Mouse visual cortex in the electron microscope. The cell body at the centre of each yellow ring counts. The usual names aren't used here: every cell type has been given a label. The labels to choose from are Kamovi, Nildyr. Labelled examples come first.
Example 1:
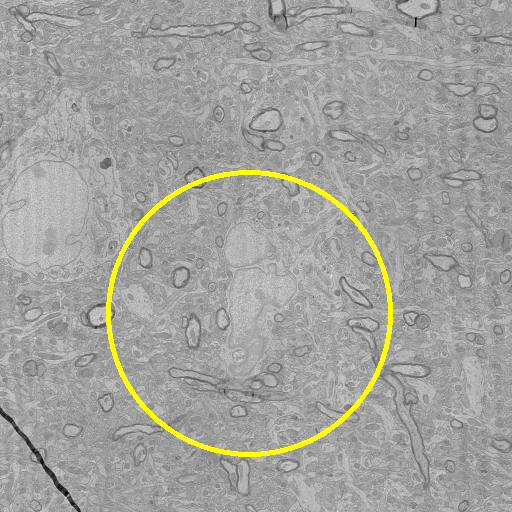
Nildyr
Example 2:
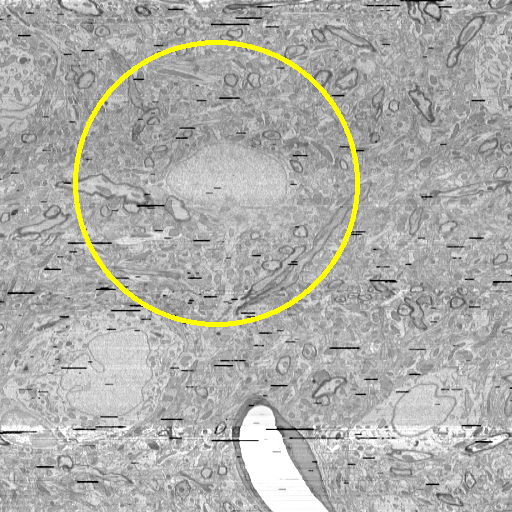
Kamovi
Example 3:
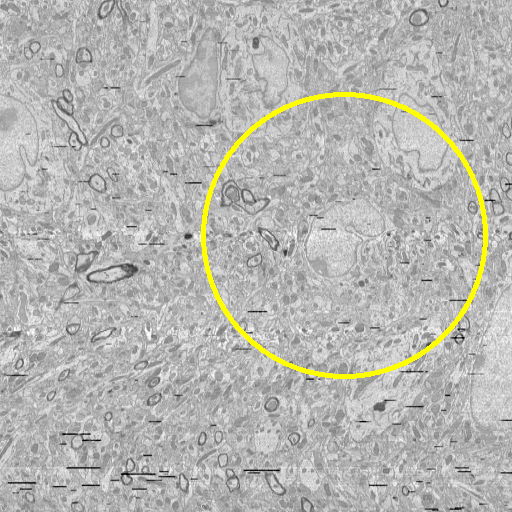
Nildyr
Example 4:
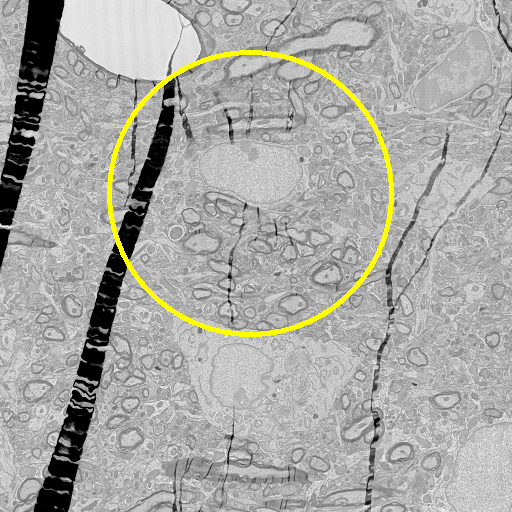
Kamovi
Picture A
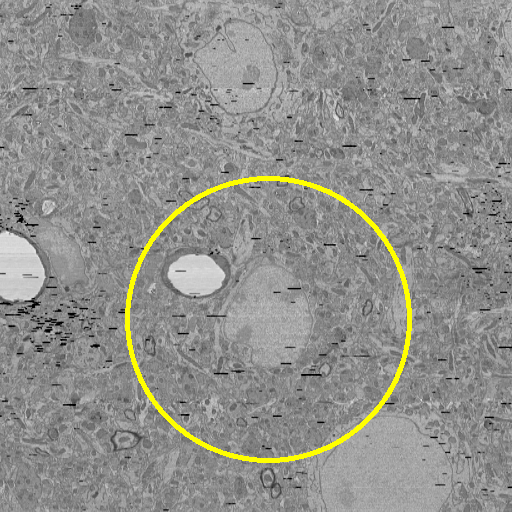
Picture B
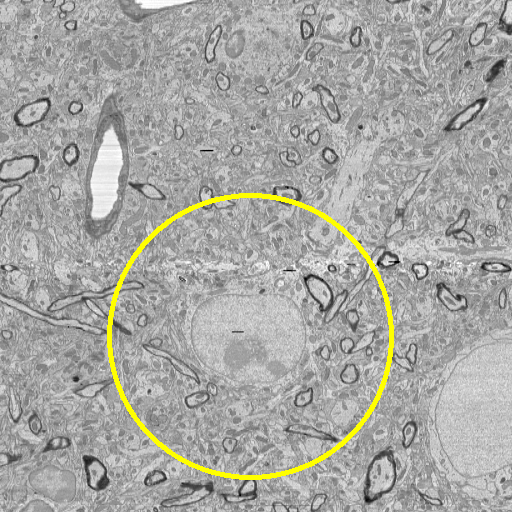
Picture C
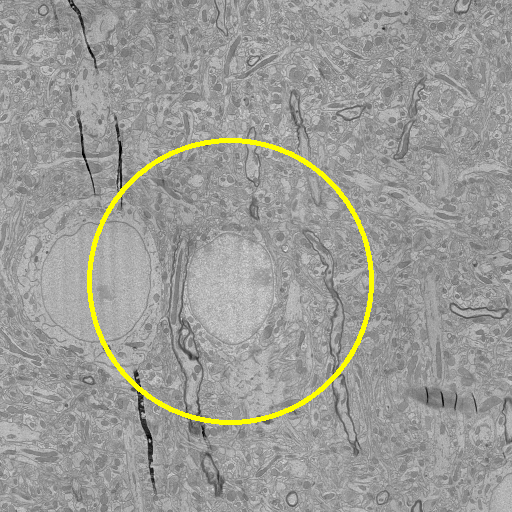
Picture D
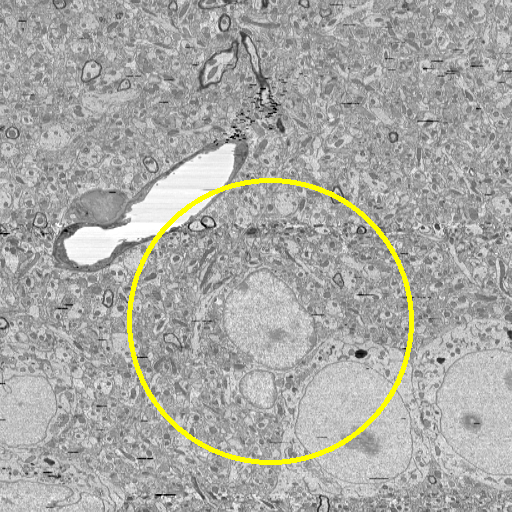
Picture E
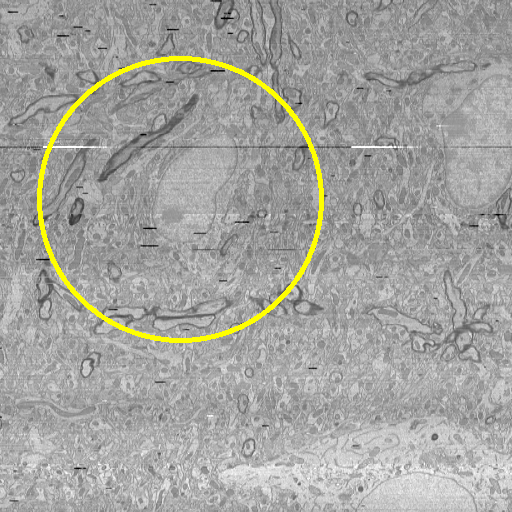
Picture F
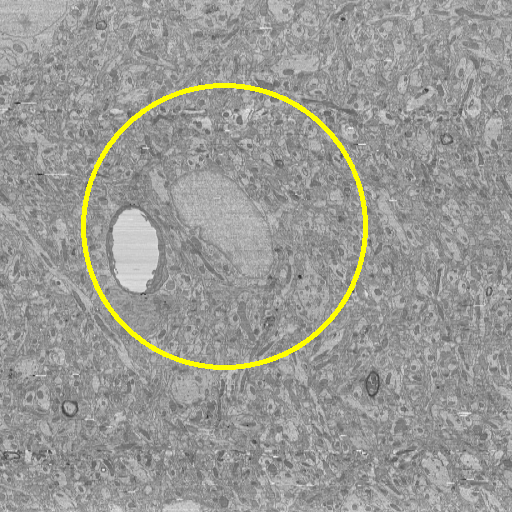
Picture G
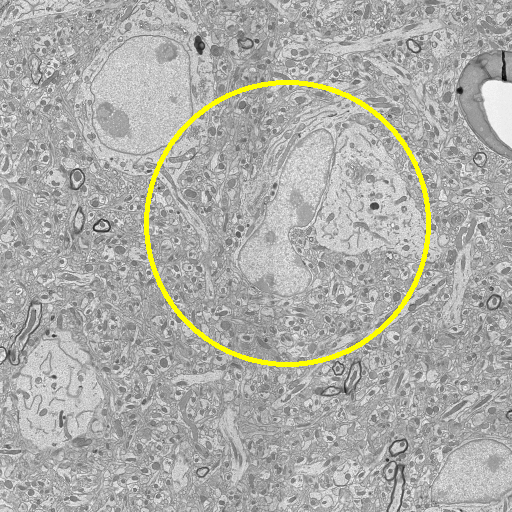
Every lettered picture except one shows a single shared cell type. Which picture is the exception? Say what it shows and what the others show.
Exception: G, showing Nildyr. Remaining pictures: Kamovi.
